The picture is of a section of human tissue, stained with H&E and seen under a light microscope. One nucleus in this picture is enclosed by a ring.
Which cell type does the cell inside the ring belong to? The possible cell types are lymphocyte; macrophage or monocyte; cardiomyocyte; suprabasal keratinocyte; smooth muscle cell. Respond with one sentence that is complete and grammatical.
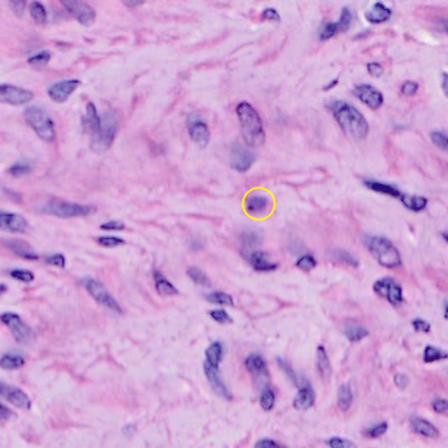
Considered by cell type, the cell inside the ring is a smooth muscle cell.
